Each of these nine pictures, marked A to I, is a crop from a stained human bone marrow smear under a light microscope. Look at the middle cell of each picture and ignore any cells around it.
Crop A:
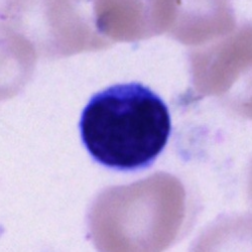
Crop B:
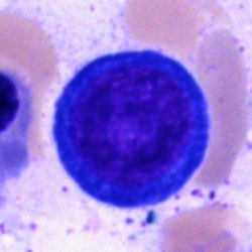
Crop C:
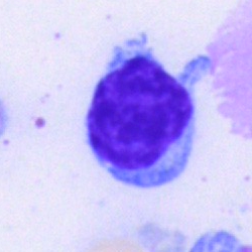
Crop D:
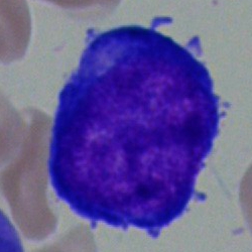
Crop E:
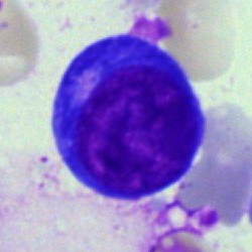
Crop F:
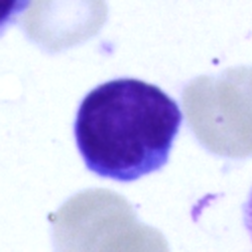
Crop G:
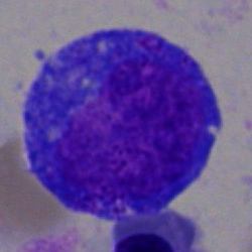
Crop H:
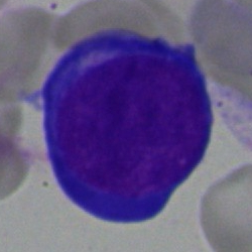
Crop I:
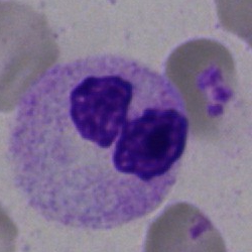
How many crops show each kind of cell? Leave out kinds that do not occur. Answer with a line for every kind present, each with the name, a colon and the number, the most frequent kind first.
proerythroblast: 5
lymphocyte: 3
segmented neutrophil: 1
